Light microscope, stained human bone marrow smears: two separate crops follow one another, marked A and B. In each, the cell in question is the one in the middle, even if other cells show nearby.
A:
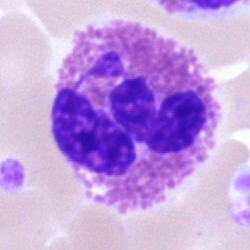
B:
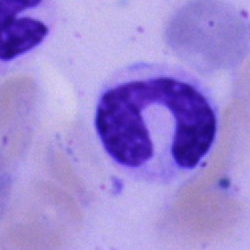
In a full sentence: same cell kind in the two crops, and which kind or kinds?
No, whereas crop A shows an eosinophil, crop B shows a band neutrophil.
